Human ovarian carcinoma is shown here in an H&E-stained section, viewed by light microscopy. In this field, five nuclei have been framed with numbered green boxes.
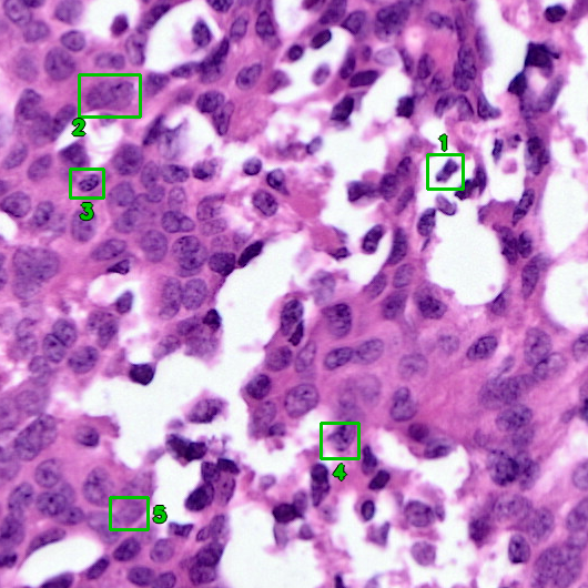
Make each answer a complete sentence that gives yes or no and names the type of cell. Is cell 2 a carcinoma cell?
Yes, the cell shown as number 2 is a carcinoma cell.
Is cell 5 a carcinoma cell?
Yes, the cell tagged with the number 5 is a carcinoma cell.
